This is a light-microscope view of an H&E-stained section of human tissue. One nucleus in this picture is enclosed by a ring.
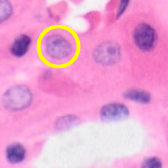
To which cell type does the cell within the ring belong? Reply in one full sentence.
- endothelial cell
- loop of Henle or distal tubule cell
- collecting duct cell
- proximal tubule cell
It is as a proximal tubule cell that the cell within the ring is classified.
